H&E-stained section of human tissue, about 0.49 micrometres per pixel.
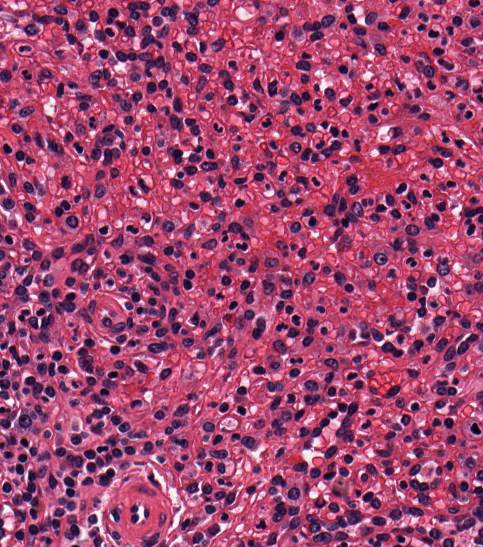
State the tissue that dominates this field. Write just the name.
red pulp of the spleen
